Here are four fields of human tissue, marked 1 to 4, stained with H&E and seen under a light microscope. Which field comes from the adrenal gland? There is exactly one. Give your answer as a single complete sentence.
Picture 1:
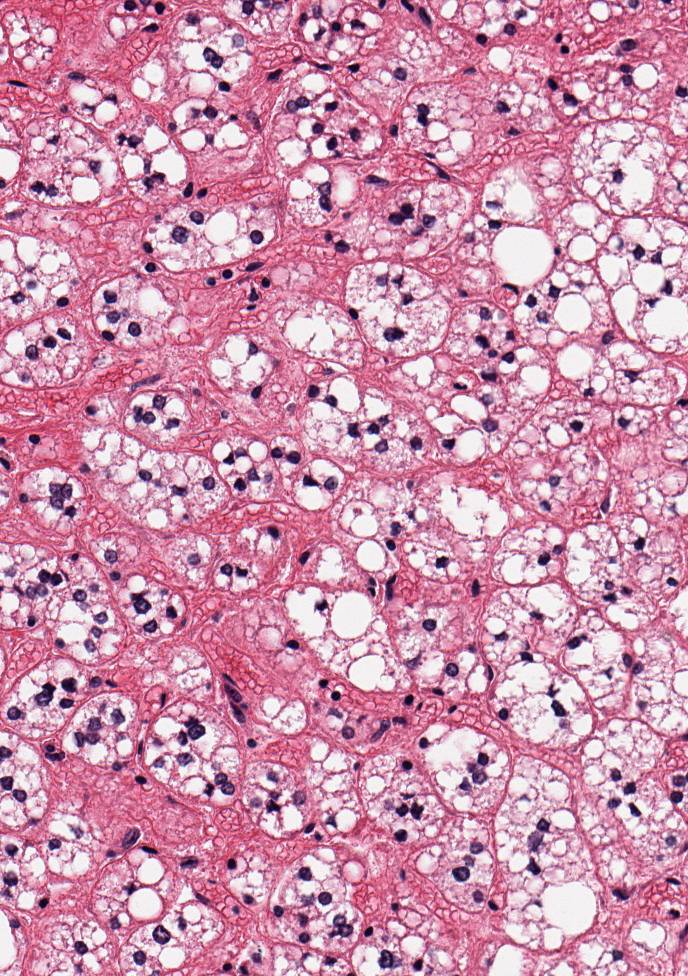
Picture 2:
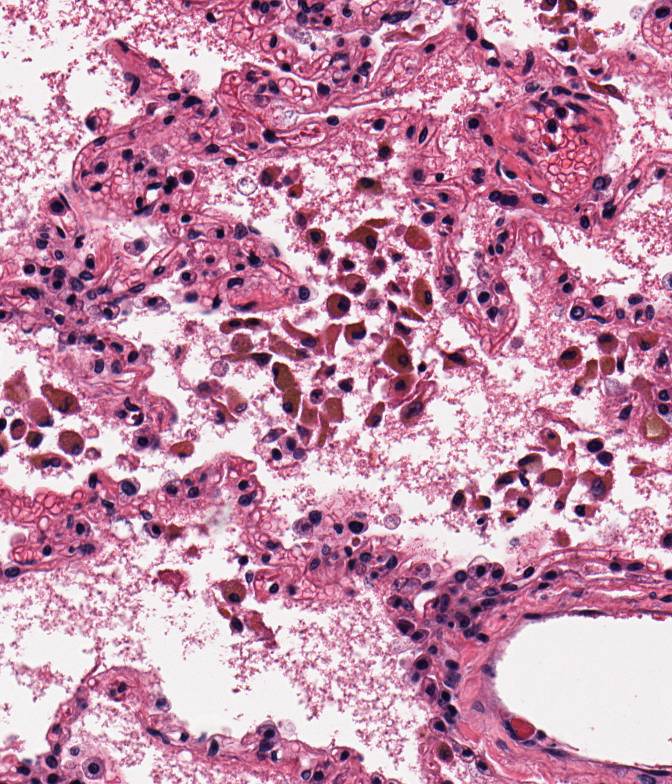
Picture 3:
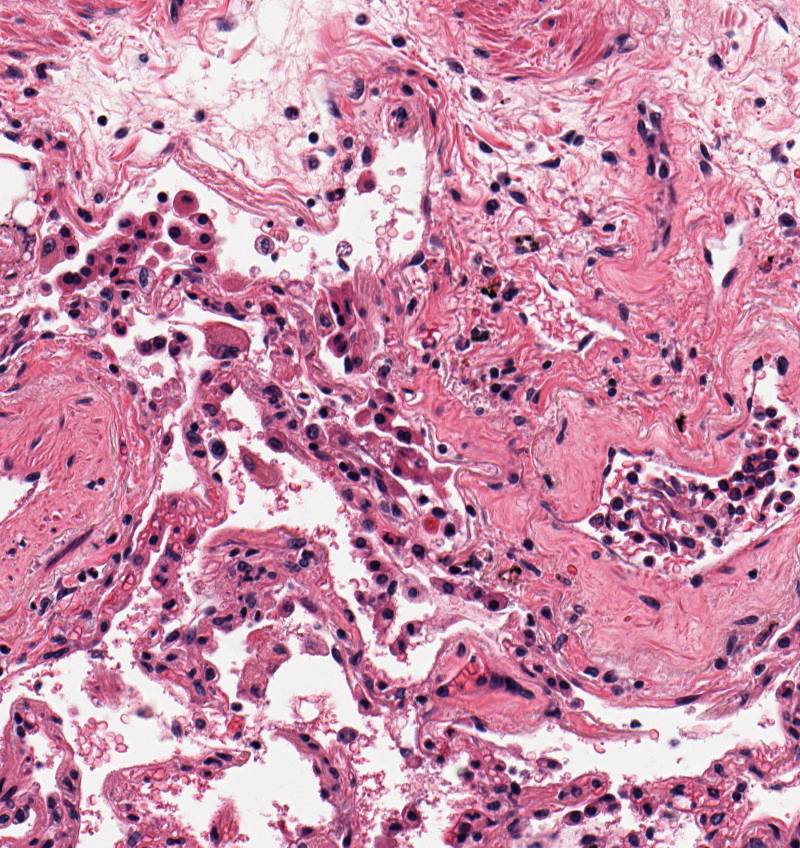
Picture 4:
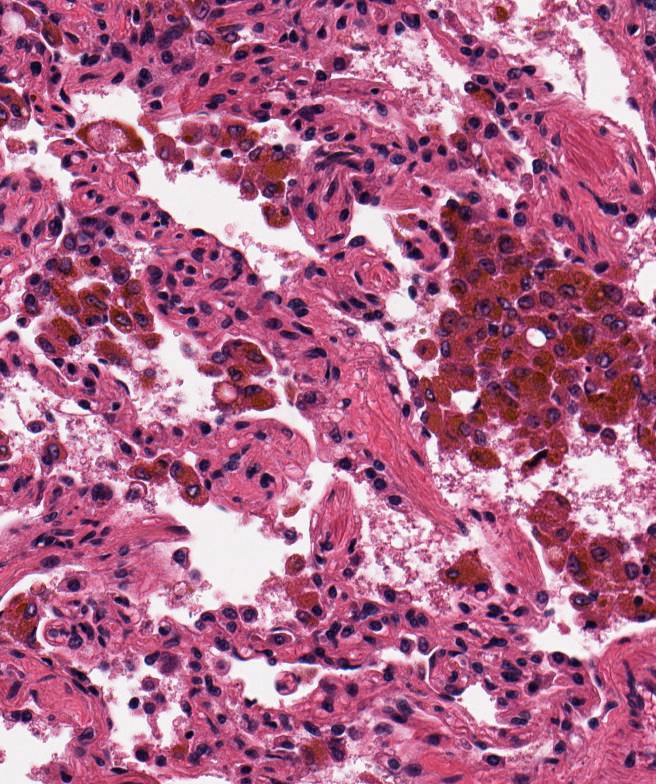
It is picture 1 that comes from the adrenal gland.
